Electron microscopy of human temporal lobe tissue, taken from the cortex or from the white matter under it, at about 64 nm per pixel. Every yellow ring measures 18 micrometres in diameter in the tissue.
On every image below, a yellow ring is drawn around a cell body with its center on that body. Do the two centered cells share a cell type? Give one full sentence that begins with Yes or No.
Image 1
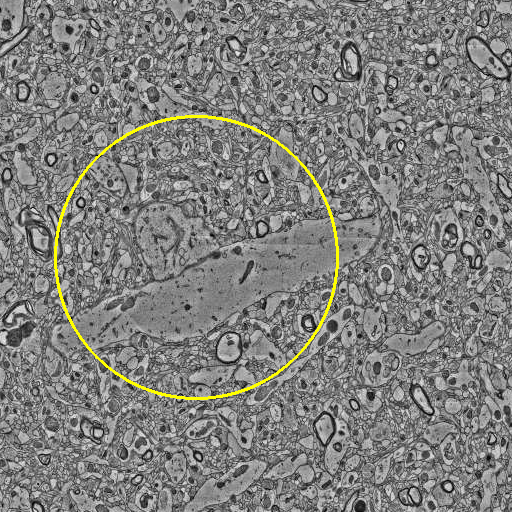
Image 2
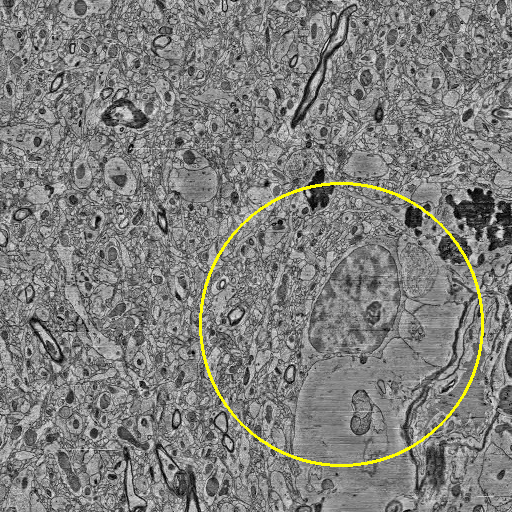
No, the centered cells in the two images are of two separate cell types.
